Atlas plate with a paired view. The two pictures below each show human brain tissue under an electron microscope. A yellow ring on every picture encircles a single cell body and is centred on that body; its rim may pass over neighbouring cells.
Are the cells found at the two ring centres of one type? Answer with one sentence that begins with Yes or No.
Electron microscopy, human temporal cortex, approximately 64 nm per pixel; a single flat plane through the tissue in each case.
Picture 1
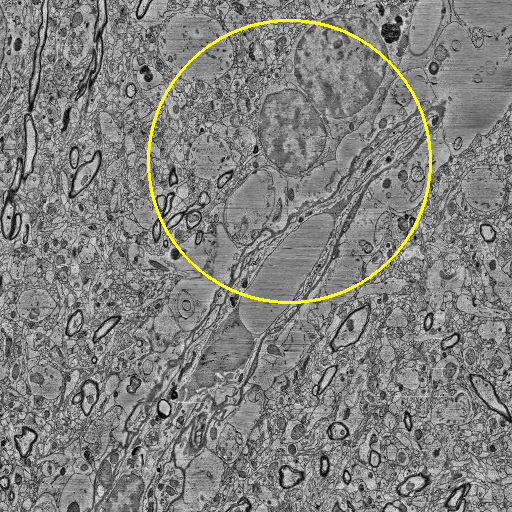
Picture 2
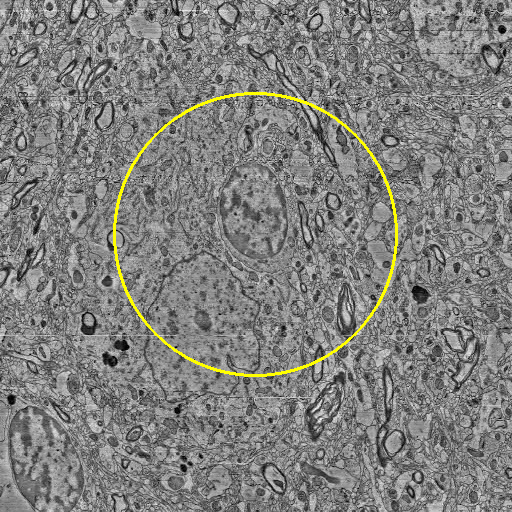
Yes, the two cells lying at the centres of the rings share a single type.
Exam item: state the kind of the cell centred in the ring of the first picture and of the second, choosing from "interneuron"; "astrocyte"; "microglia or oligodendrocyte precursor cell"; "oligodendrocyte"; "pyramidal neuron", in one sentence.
The first and the second cell are each an oligodendrocyte.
